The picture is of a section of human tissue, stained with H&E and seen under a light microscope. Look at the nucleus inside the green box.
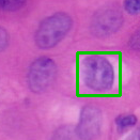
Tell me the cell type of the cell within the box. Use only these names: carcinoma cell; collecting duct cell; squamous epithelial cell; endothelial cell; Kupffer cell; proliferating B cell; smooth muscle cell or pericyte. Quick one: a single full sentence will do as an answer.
Just put down that the cell within the box is a squamous epithelial cell.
